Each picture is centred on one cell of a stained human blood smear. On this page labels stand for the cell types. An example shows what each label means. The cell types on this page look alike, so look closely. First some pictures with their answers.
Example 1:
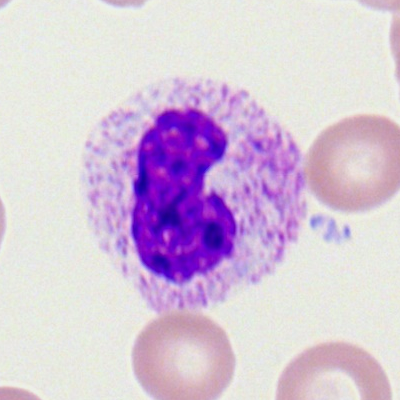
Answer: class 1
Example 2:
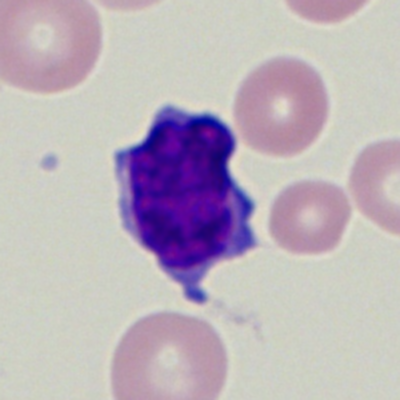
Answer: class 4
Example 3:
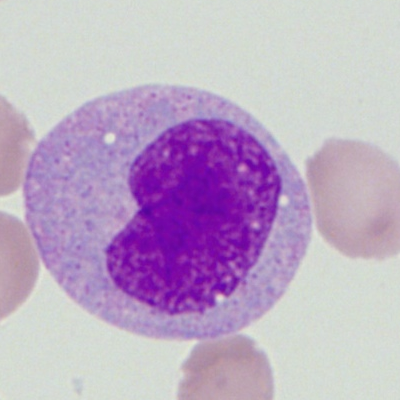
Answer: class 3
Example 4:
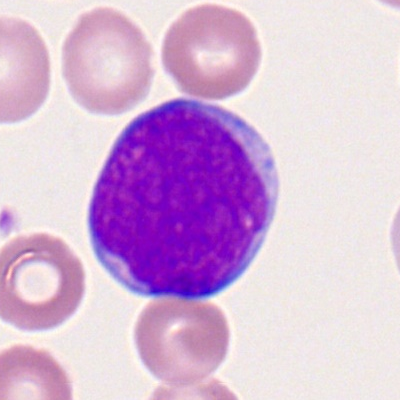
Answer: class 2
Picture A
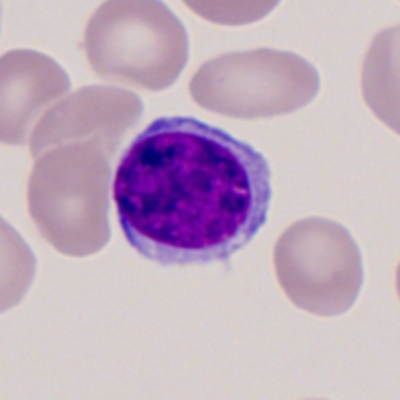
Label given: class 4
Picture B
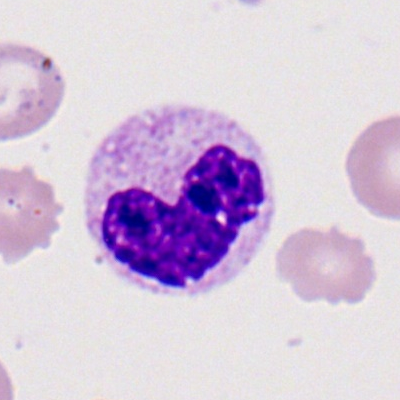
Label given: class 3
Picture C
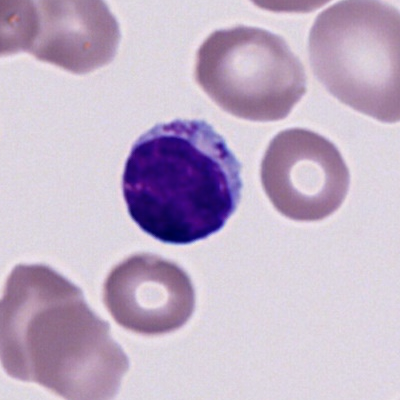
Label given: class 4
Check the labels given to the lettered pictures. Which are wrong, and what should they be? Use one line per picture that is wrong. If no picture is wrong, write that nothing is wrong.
B is labelled class 3; correct label: class 1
